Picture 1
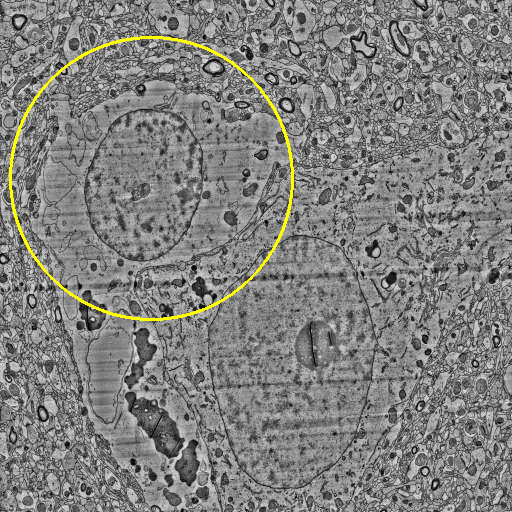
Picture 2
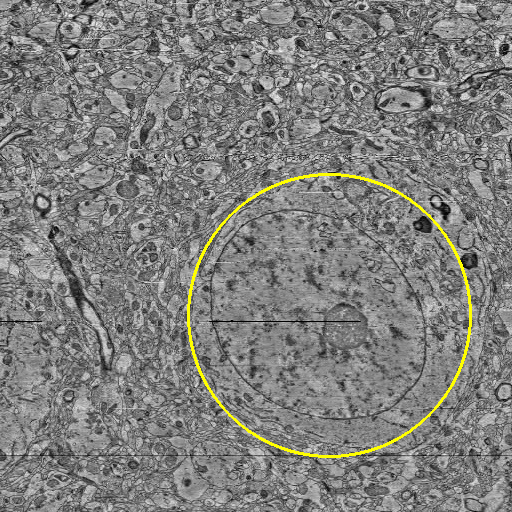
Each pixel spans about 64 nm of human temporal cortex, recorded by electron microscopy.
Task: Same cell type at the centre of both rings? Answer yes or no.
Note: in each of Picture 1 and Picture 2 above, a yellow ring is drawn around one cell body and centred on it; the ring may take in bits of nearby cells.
no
